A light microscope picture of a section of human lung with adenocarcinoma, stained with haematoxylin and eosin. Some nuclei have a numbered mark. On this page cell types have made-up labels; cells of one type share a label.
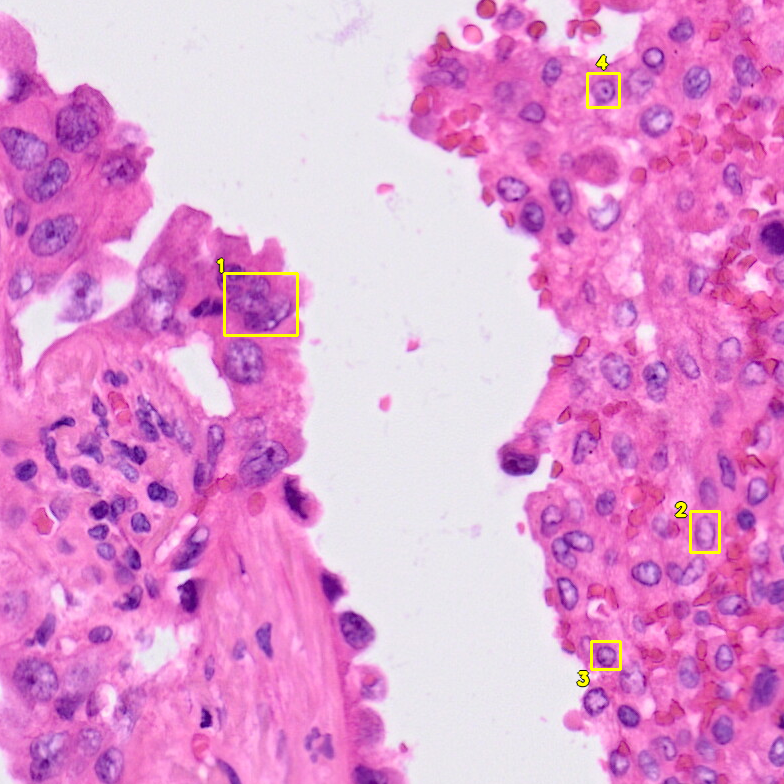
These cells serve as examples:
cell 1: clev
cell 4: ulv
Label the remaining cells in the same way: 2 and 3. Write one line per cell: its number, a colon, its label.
2: ulv
3: ulv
